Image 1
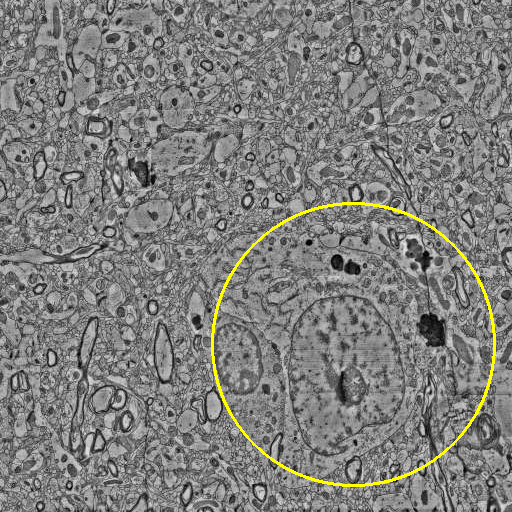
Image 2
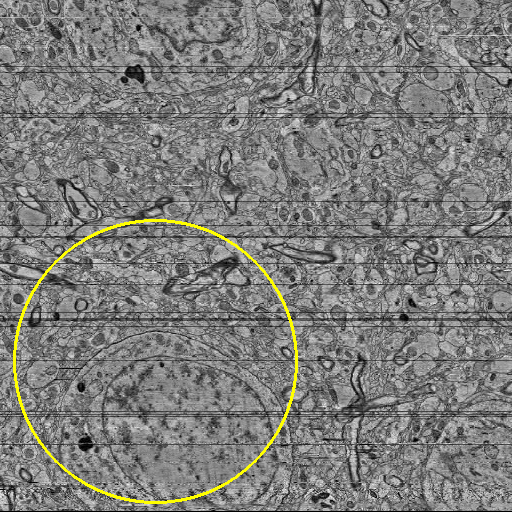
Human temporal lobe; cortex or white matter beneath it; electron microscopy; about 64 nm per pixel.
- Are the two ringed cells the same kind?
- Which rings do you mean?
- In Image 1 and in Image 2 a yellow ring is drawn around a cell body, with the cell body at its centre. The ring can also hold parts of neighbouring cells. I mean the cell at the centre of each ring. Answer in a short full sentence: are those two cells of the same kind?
Yes, both cells are of the same kind.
